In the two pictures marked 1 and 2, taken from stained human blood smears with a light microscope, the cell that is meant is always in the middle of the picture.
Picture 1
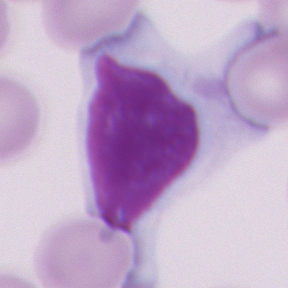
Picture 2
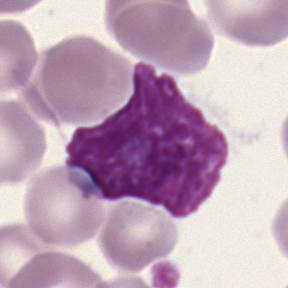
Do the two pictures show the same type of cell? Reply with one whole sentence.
No, picture 1 shows a typical lymphocyte and picture 2 shows a smudge cell.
